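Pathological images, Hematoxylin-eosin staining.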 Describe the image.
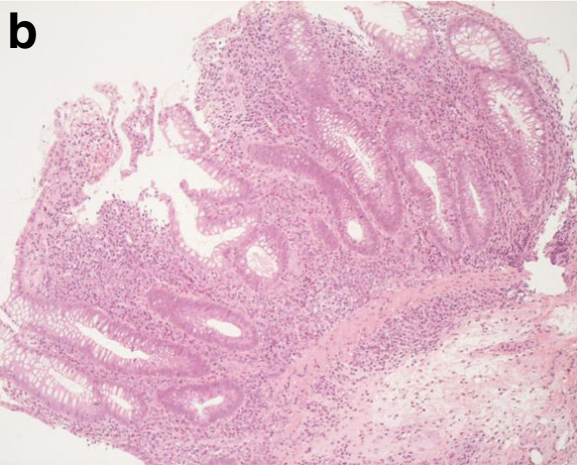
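Low-power view of mucosa with crypts of uneven shape, size and orientation, some curved and tortuous. The stroma between the crypts is densely cellular with inflammatory cells, and the surface is ragged.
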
